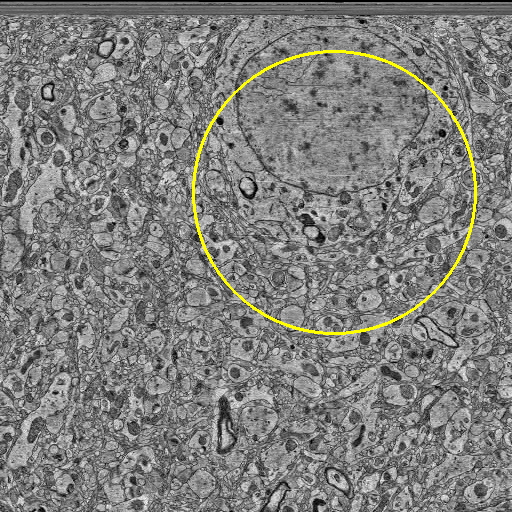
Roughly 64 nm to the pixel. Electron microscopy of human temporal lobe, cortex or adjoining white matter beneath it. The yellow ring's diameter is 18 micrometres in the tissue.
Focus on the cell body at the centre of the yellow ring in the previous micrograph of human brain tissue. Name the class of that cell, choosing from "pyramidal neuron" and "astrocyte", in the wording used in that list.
pyramidal neuron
